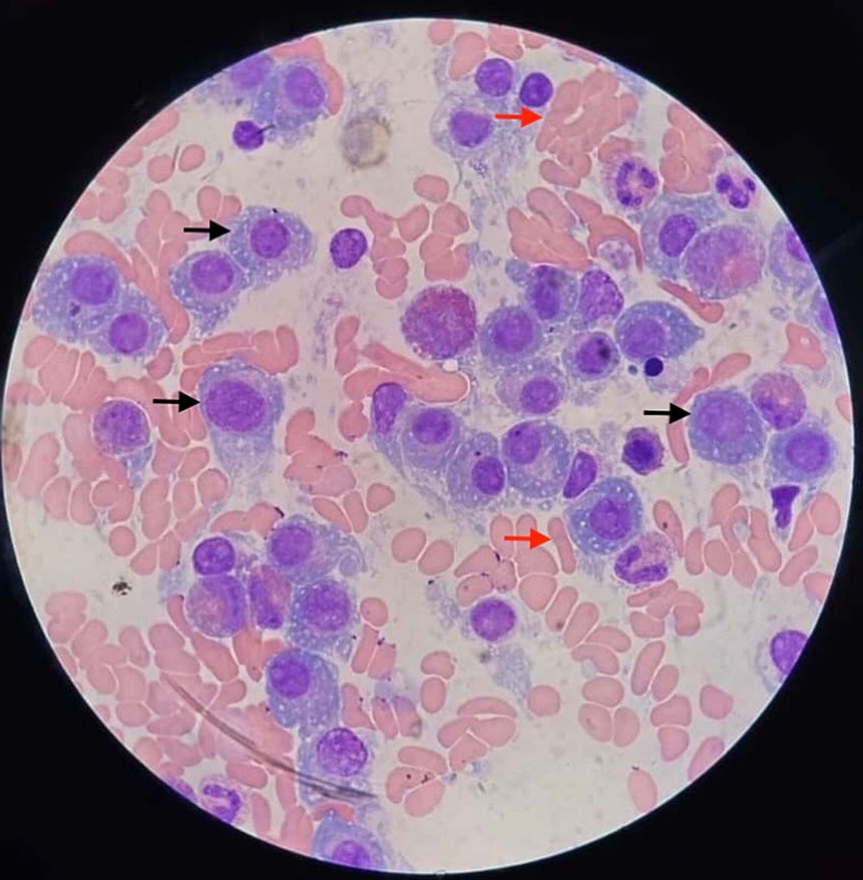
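This bone marrow smear is crowded with plasma cells lying among red blood cells. The plasma cells are oval, with round nuclei set off to one side, coarsely clumped purple chromatin, and plentiful blue cytoplasm that holds small pale vacuoles and has a lighter zone beside the nucleus. They gather in clusters and small sheets, and a few other marrow cells with granular cytoplasm lie scattered among them. The pink red blood cells are stacked in long overlapping chains like piles of coins, a pattern known as rouleaux formation.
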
